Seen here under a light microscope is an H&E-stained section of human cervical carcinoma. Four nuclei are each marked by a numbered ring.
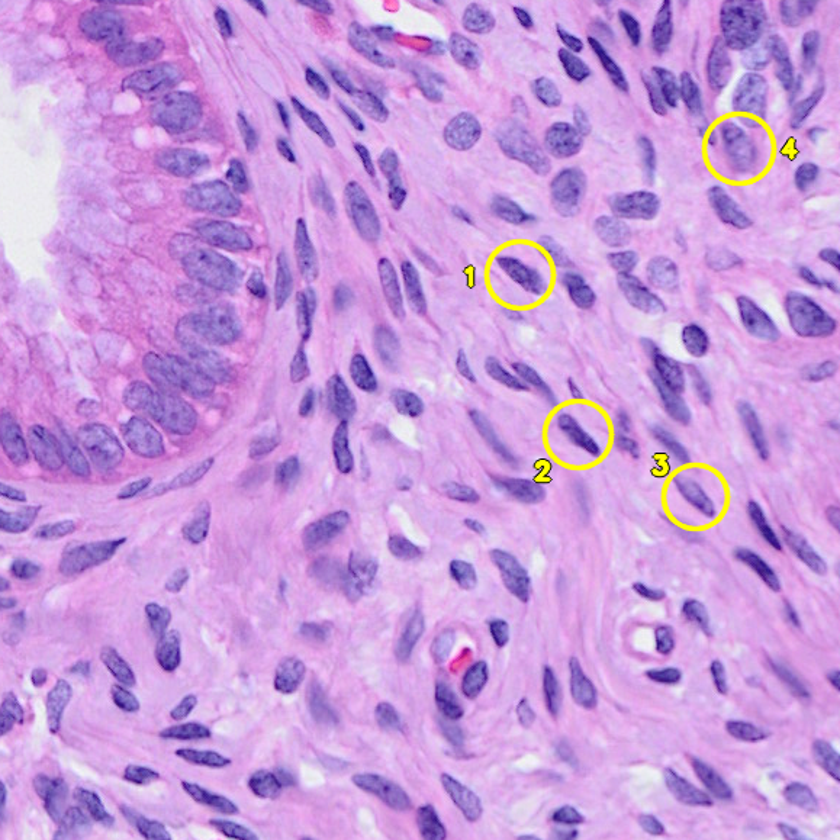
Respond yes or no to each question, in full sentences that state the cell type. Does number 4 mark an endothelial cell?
Yes, the cell shown as number 4 is an endothelial cell.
